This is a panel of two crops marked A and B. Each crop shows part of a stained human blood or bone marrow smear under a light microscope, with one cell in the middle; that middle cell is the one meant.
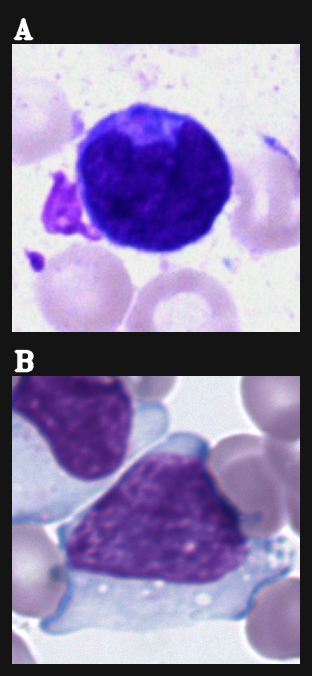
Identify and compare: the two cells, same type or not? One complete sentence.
Yes, both crops show blasts, with no exception.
